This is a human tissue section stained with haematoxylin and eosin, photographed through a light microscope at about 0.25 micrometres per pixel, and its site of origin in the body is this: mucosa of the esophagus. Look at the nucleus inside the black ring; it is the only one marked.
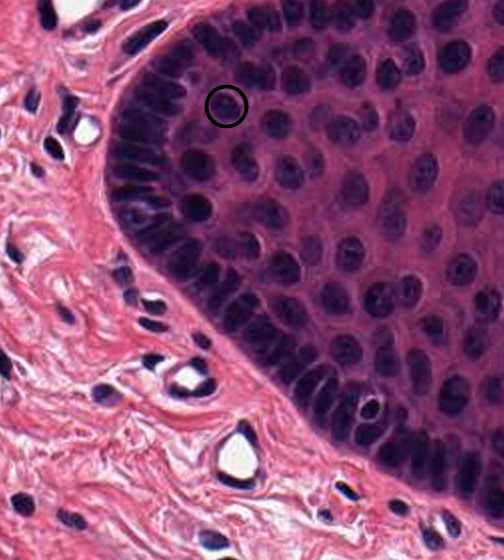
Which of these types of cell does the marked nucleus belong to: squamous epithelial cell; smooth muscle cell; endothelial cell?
squamous epithelial cell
